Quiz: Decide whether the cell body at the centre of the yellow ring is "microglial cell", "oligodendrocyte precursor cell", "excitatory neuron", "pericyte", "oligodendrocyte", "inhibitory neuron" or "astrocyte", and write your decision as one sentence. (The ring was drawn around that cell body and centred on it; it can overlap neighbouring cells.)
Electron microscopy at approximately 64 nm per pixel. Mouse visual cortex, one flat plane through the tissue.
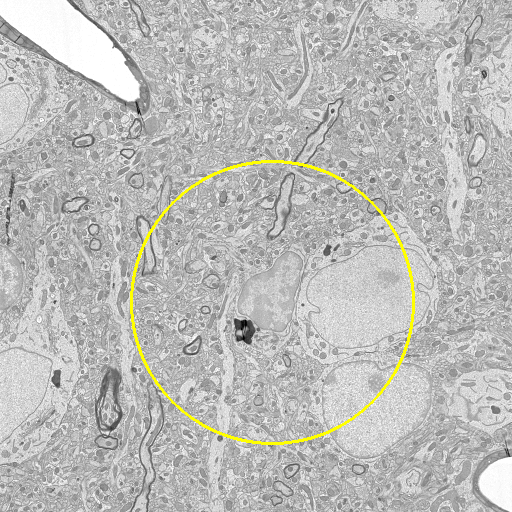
The cell the ring is centred on is a microglial cell.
